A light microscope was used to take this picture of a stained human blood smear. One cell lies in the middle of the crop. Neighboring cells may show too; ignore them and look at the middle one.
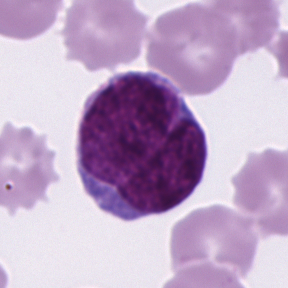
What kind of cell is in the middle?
myeloblast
